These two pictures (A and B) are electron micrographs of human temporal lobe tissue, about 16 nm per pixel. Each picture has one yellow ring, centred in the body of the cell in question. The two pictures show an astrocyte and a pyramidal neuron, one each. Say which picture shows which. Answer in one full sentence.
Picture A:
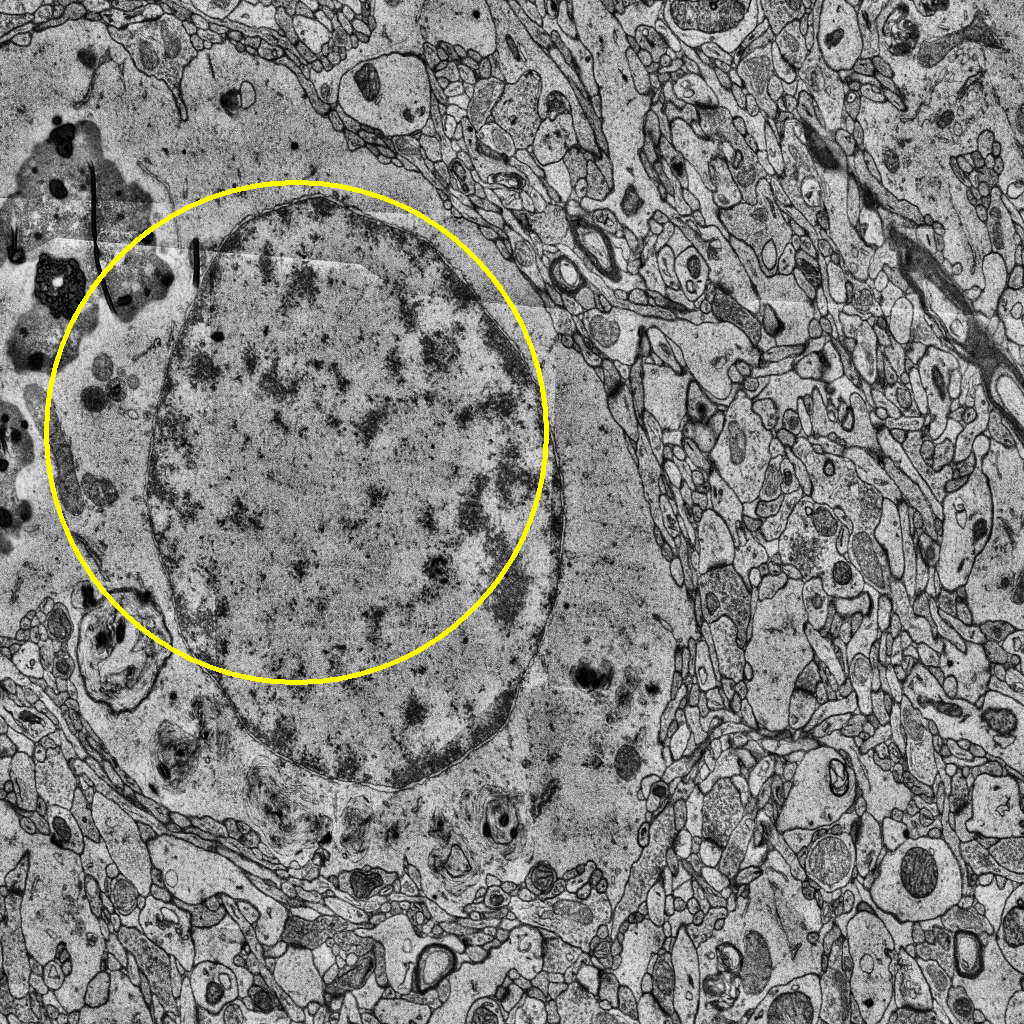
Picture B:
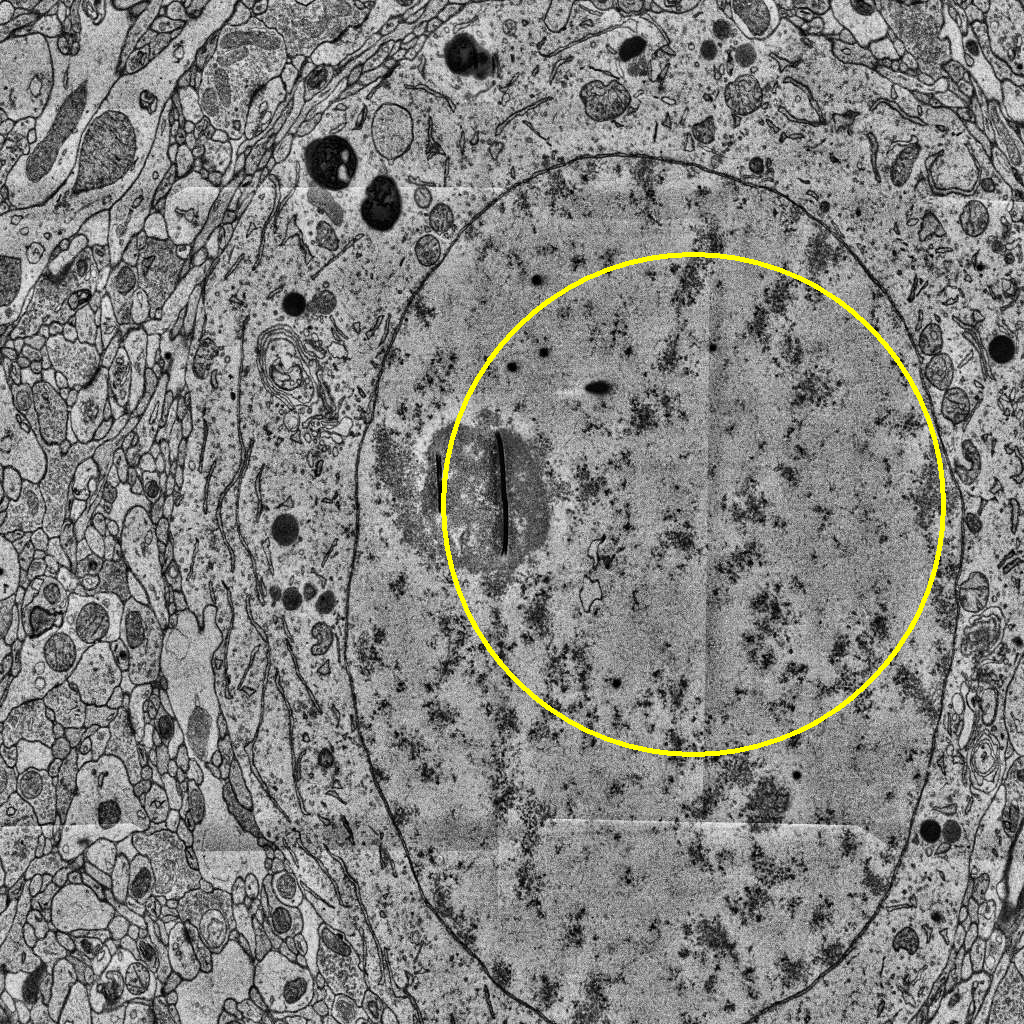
The cell in picture A is an astrocyte, and the one in picture B is a pyramidal neuron.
